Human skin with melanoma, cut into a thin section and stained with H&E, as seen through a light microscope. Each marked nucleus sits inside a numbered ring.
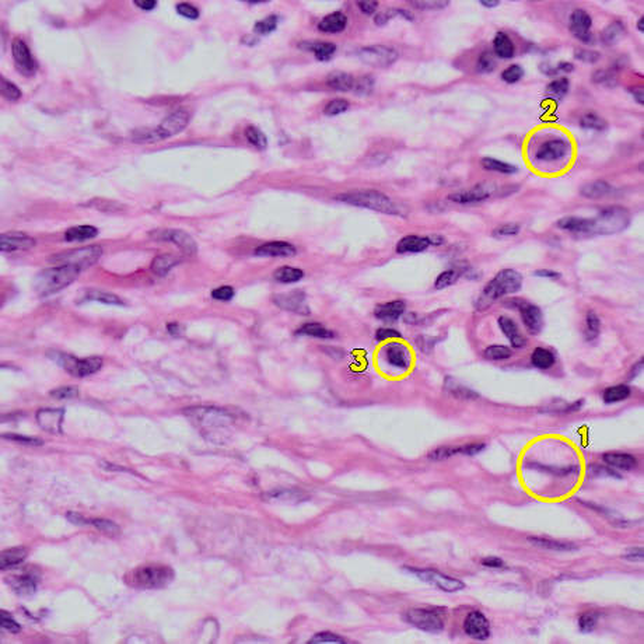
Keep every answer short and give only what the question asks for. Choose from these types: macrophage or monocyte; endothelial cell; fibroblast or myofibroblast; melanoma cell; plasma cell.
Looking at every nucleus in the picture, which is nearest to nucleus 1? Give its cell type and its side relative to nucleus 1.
a fibroblast or myofibroblast to the right of nucleus 1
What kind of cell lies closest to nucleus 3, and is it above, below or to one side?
a plasma cell; above nucleus 3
